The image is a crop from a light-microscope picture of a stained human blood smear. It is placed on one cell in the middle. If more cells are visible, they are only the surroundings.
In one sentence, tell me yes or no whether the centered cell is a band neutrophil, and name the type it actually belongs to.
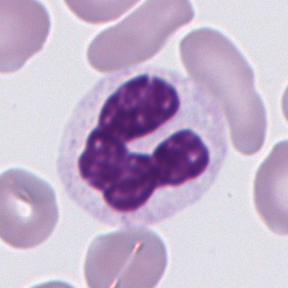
No, the cell centered in the crop is a segmented neutrophil, not a band neutrophil.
